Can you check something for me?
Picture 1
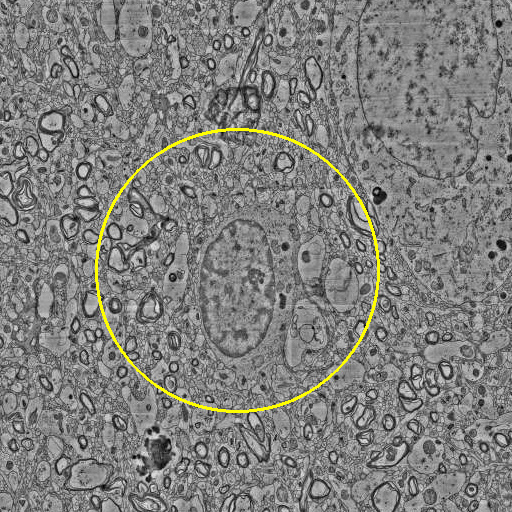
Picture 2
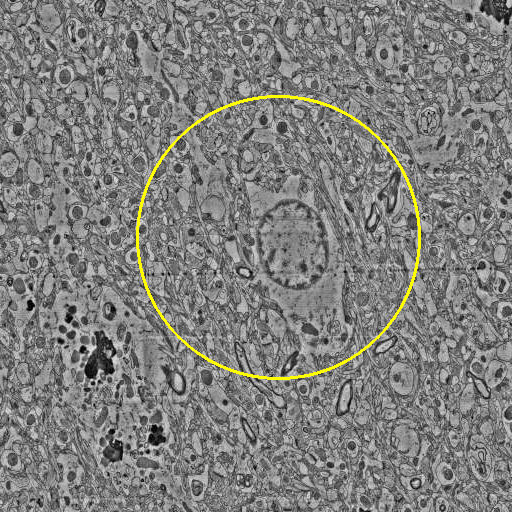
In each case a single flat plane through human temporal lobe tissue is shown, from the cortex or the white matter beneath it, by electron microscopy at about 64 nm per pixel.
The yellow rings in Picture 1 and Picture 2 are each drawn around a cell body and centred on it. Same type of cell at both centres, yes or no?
no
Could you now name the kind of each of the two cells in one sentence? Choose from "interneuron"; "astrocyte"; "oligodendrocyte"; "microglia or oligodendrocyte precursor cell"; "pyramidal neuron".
The first ring encloses an oligodendrocyte; the second ring encloses an astrocyte.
